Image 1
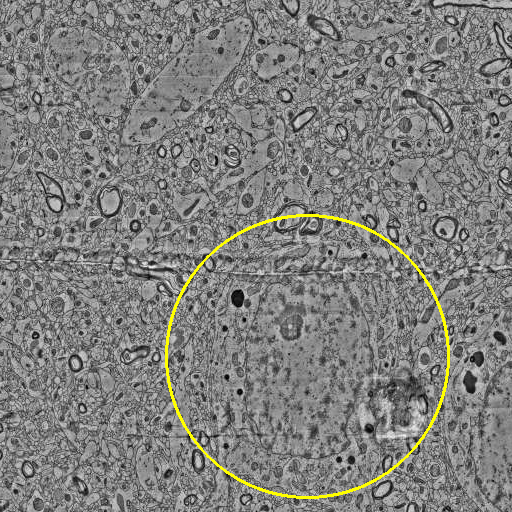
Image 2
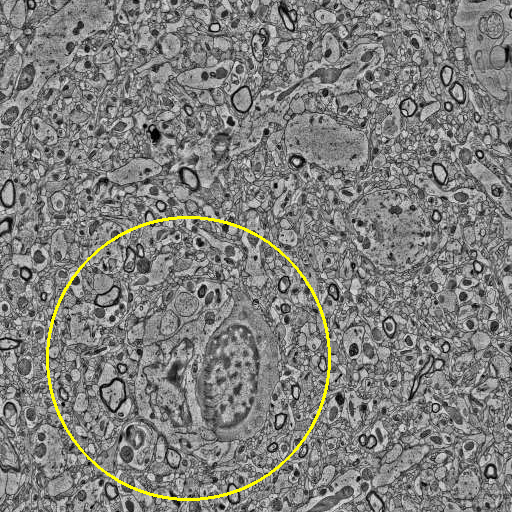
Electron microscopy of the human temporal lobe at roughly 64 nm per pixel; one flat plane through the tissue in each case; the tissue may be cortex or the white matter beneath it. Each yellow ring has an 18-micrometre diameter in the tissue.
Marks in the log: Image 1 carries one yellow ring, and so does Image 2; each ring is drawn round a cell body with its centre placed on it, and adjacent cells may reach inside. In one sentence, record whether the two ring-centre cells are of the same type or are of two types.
The two cells at the ring centres, one in each image, are of the same type.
